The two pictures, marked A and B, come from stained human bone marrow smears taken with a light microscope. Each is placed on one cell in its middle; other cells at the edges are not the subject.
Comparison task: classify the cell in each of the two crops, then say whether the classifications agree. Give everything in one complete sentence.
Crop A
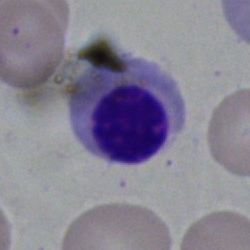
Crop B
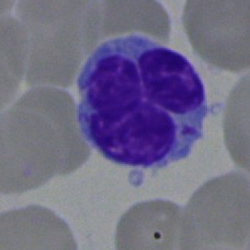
No, a lymphocyte is depicted in crop B, whereas a normoblast is depicted in crop A.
